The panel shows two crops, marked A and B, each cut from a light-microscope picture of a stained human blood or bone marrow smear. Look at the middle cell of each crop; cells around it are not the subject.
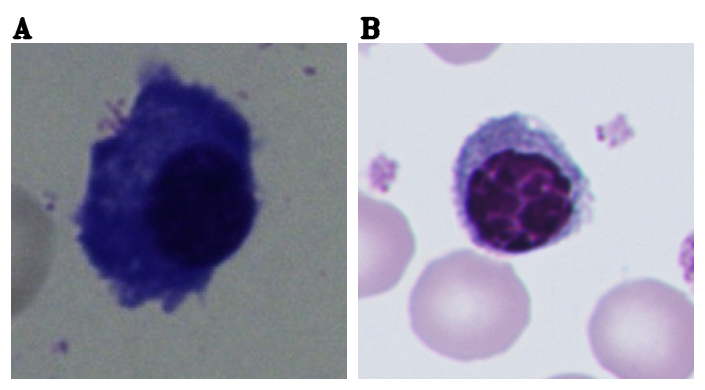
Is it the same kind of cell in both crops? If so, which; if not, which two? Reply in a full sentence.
No, the labels go like this: crop A is a plasma cell and crop B is an erythroblast.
